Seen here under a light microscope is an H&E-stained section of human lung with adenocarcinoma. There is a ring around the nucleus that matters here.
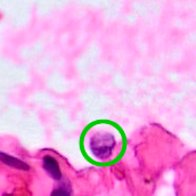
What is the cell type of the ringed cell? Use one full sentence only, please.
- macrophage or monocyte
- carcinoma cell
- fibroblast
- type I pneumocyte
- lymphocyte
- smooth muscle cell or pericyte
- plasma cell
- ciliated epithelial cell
In this preparation, the ringed cell is a type I pneumocyte.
